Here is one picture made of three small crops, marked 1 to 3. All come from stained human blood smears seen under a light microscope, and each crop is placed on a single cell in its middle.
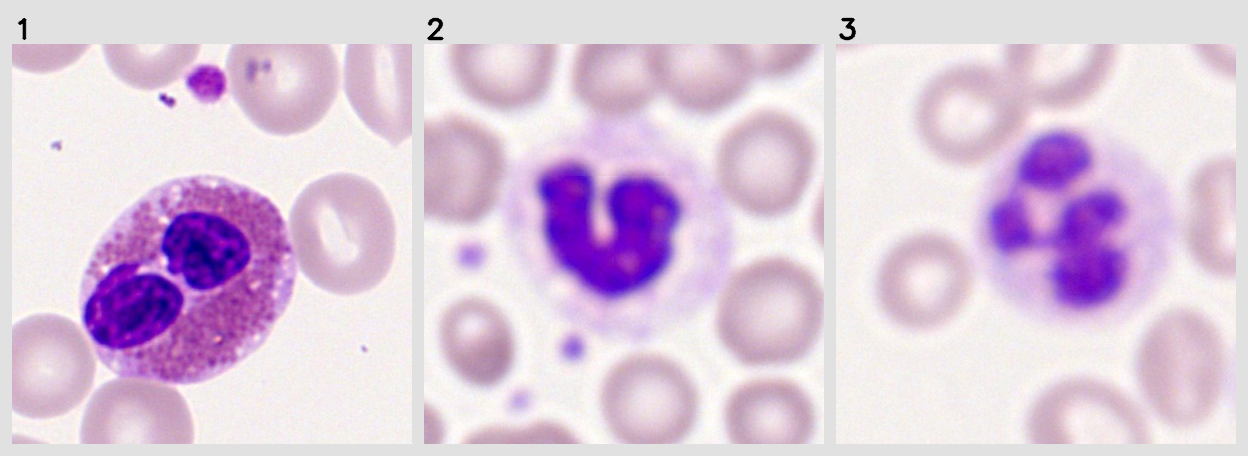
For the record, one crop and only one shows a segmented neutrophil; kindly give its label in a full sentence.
The one that shows a segmented neutrophil is crop 3.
